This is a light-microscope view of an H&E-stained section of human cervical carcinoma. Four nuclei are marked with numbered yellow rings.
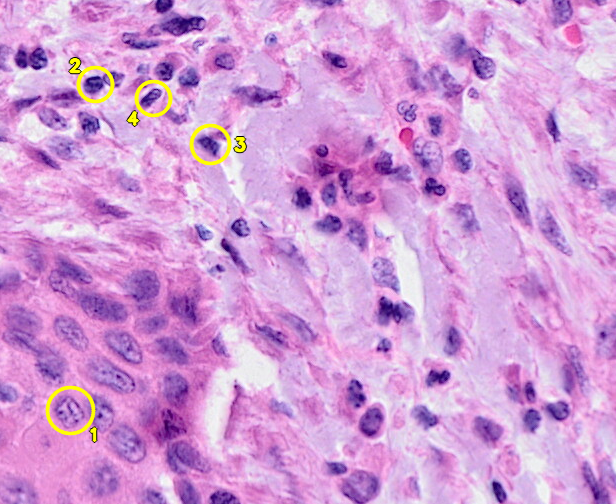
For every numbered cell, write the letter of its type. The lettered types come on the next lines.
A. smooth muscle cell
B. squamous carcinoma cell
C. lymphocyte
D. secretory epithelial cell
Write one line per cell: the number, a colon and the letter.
1: B
2: C
3: C
4: C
